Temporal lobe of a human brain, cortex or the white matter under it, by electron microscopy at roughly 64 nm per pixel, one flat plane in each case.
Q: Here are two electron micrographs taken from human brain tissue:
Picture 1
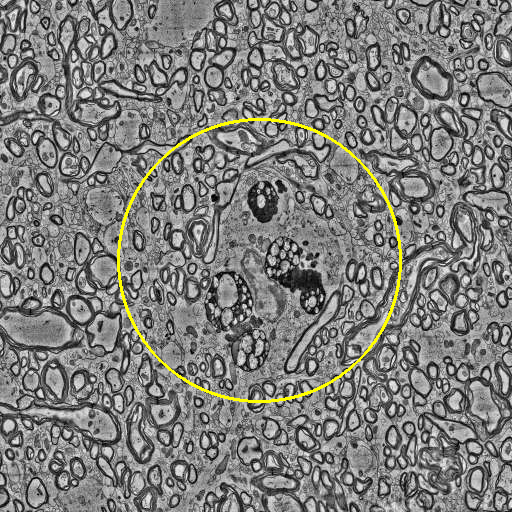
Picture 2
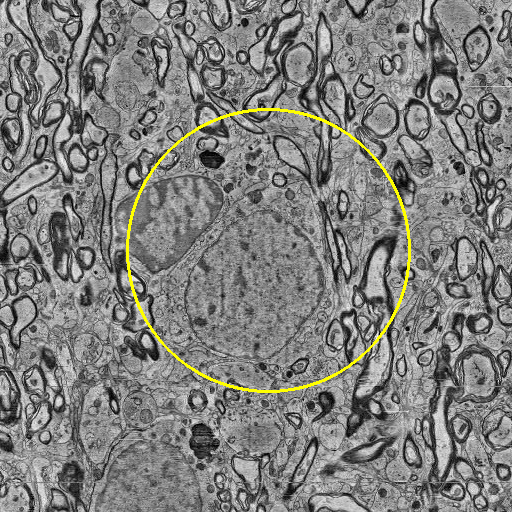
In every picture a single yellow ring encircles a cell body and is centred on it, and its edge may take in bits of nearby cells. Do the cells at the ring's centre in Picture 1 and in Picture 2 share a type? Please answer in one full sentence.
Yes, the cells at the ring's centre in Picture 1 and Picture 2 share a type.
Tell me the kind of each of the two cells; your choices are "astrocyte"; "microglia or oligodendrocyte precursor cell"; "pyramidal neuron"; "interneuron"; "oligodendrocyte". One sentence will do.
Each one of the two ringed cells is an astrocyte.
